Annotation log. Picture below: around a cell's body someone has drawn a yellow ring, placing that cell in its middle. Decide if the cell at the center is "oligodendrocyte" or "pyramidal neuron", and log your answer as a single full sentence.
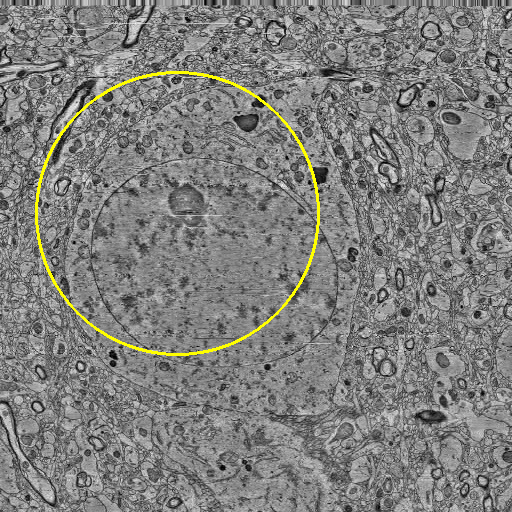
My entry records a pyramidal neuron as the cell sitting at the center of the yellow ring.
